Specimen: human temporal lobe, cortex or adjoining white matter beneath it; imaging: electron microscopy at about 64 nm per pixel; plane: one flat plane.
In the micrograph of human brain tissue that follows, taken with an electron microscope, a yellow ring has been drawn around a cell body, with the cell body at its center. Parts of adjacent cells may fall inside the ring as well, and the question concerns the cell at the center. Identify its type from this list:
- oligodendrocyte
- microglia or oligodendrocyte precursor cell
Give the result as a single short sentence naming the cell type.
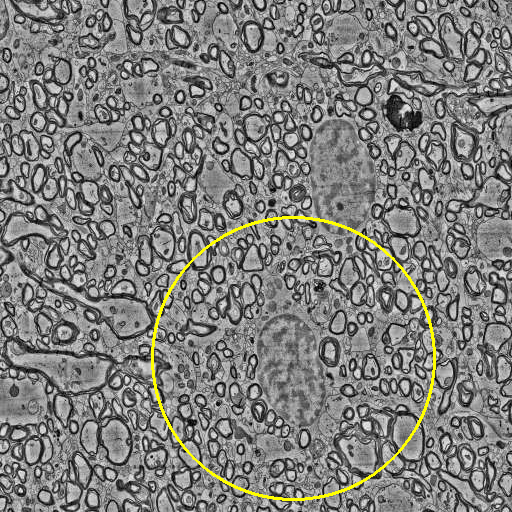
The ring is centered on an oligodendrocyte.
